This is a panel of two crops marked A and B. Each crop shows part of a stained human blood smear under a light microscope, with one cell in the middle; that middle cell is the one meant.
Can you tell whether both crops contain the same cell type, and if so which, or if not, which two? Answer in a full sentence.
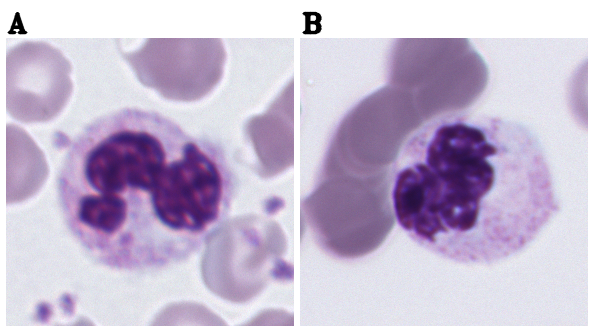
Yes, the middle cells in the two crops are neutrophils.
